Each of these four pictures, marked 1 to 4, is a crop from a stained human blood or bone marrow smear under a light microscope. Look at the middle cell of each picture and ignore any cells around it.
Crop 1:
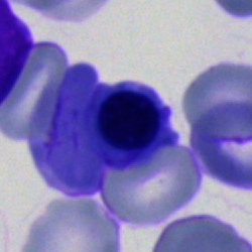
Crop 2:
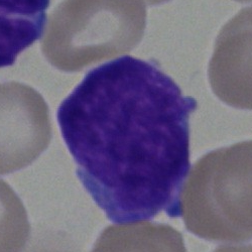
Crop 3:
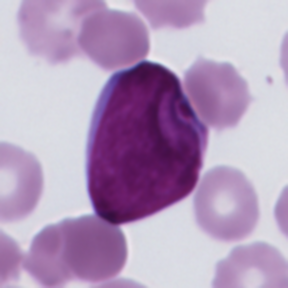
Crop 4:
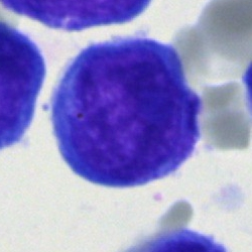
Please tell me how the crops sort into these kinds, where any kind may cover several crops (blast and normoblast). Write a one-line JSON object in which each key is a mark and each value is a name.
{"1": "normoblast", "2": "blast", "3": "blast", "4": "blast"}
